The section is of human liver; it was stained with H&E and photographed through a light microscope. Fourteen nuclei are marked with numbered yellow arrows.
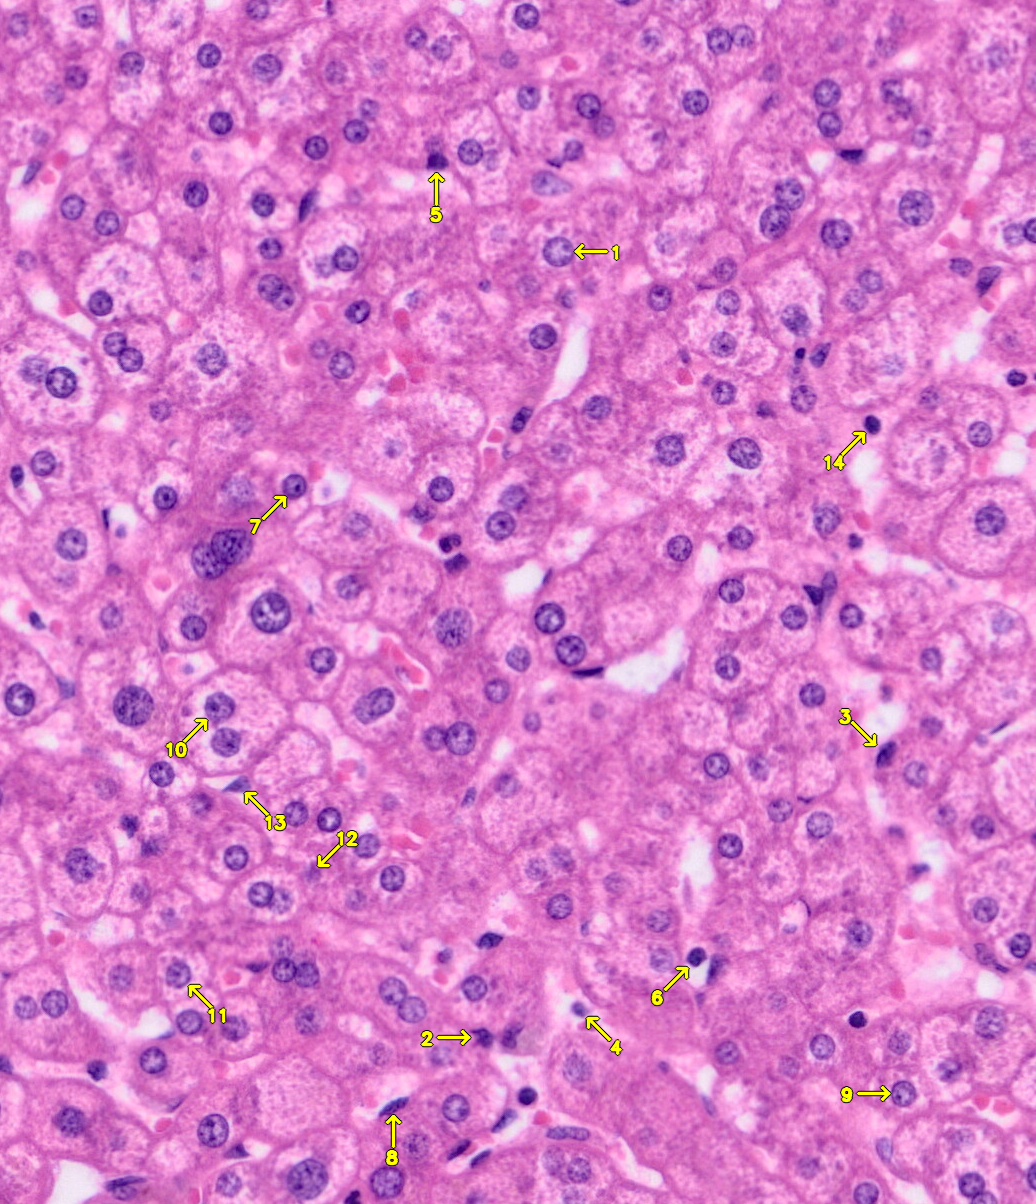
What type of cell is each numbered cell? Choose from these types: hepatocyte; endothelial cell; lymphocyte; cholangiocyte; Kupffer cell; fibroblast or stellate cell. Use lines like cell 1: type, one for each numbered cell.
cell 1: hepatocyte
cell 2: fibroblast or stellate cell
cell 3: fibroblast or stellate cell
cell 4: lymphocyte
cell 5: fibroblast or stellate cell
cell 6: lymphocyte
cell 7: hepatocyte
cell 8: endothelial cell
cell 9: hepatocyte
cell 10: hepatocyte
cell 11: hepatocyte
cell 12: hepatocyte
cell 13: endothelial cell
cell 14: lymphocyte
